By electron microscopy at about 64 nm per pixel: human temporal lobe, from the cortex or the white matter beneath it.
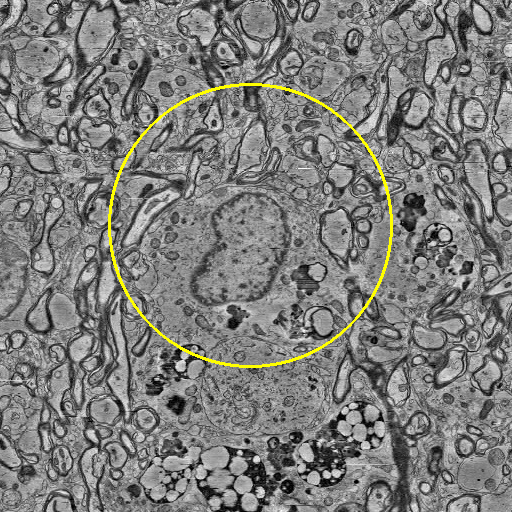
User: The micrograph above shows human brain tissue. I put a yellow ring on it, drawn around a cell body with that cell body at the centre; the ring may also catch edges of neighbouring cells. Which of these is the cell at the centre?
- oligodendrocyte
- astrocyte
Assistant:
astrocyte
